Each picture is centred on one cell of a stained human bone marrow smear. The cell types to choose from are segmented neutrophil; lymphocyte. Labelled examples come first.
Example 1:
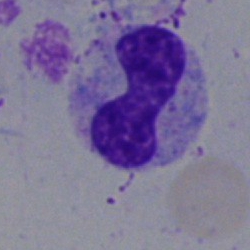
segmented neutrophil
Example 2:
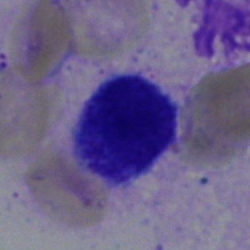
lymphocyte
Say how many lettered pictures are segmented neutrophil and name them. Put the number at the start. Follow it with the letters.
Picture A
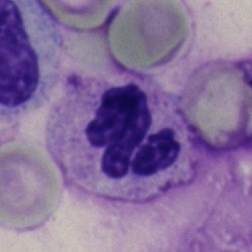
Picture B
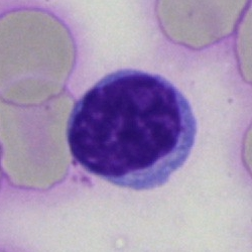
1: A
